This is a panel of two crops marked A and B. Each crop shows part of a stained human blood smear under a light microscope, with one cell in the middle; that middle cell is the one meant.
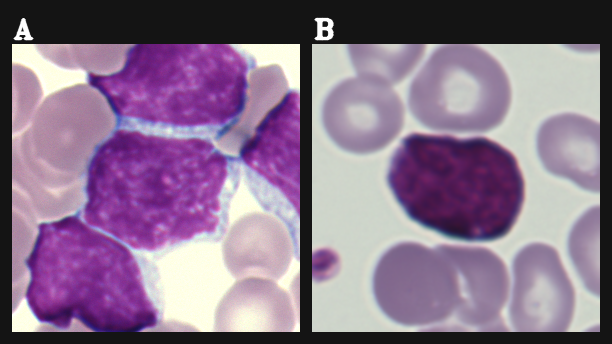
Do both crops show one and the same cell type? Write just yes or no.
no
